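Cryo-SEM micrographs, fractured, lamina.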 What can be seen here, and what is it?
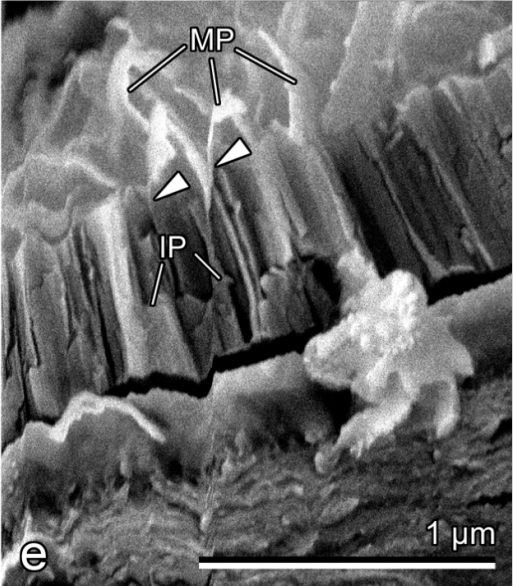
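The wax covering of a leaf epidermis is seen at high magnification above the cuticle, separated from it by a narrow crack. The lower wax layer consists of densely packed, upright, striated platelets, and from their tops arise thin, membrane-like platelets of the upper layer that extend upward.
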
